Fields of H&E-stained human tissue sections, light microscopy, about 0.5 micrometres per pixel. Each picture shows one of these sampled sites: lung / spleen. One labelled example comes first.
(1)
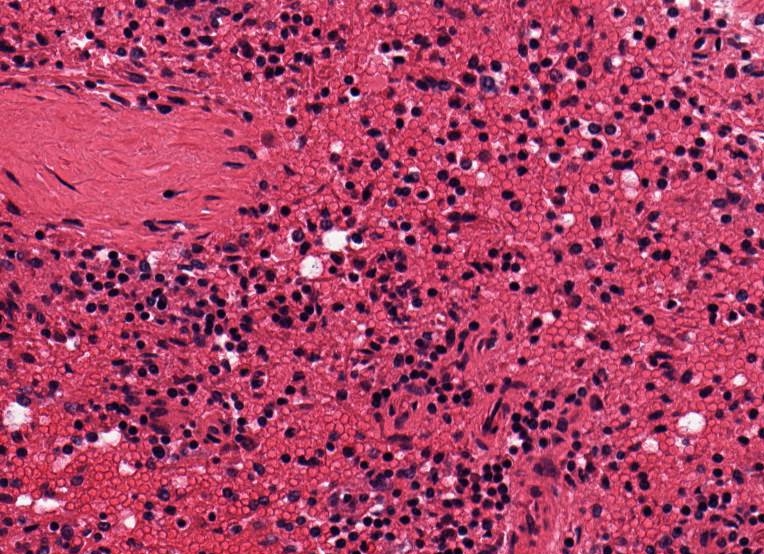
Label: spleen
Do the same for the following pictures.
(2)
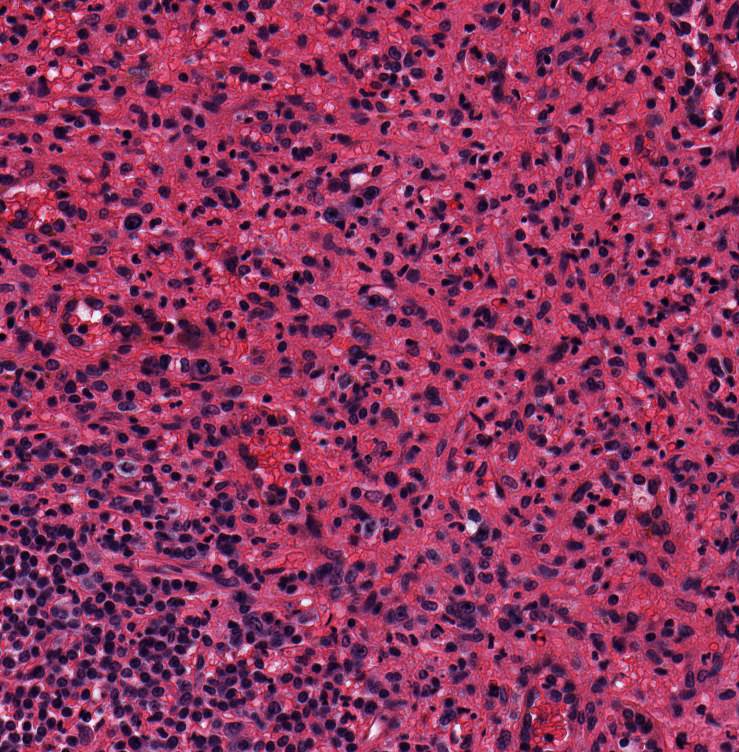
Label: spleen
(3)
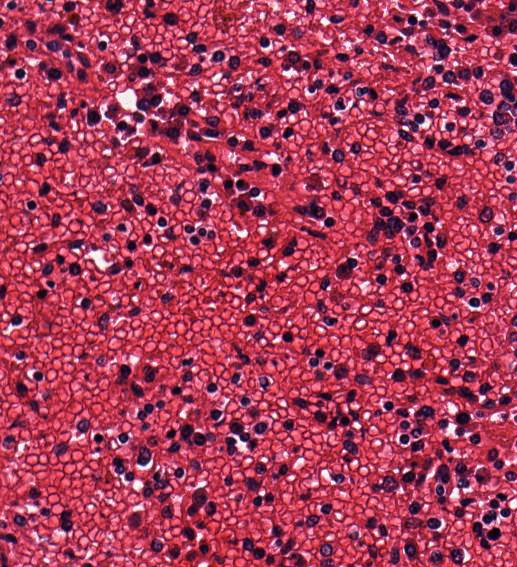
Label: spleen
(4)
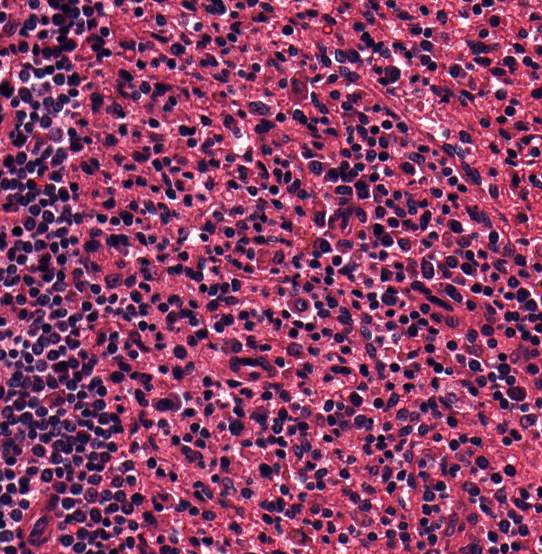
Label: spleen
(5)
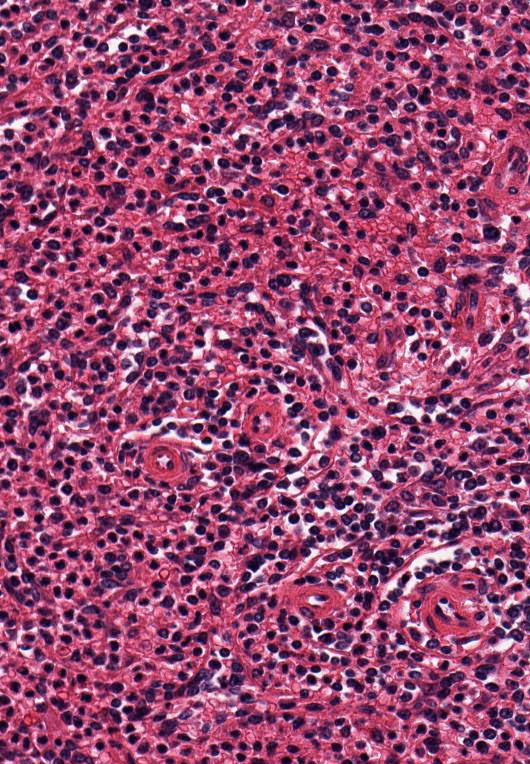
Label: spleen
